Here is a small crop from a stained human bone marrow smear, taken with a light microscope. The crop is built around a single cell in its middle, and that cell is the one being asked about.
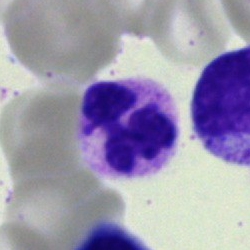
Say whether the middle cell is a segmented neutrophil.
yes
